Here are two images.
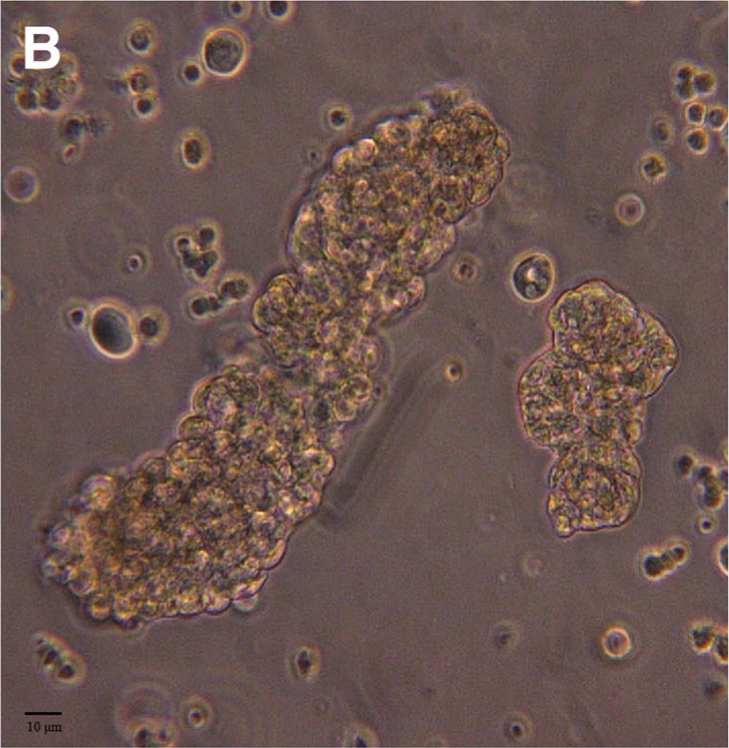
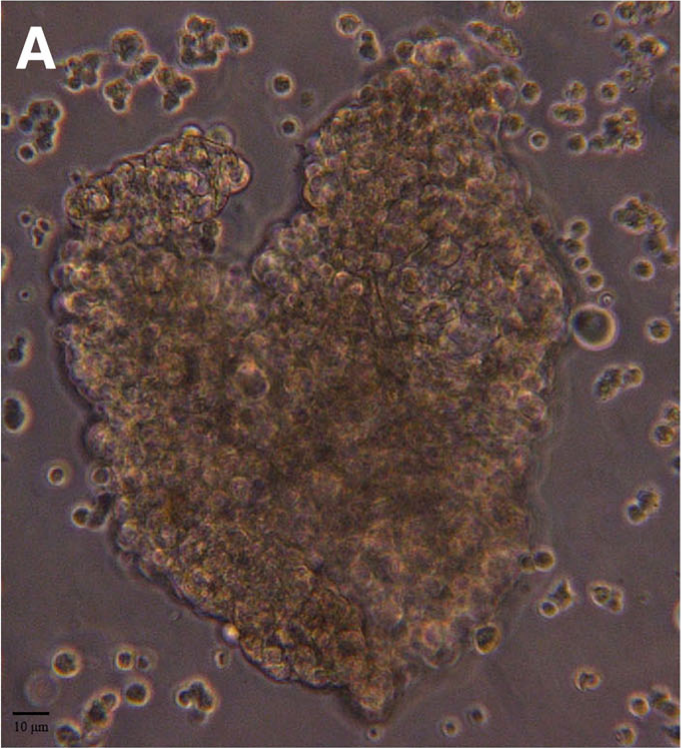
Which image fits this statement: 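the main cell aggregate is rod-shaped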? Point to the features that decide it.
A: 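First image: the main aggregate is long and narrow, running diagonally. Second image: the main aggregate is broad and bulky, not elongated.
Answer: the first image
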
